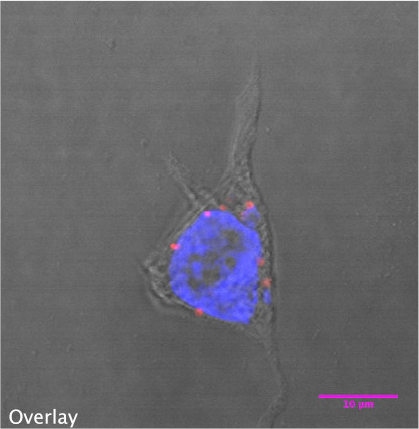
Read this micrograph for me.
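A single cultured cell stands alone on a smooth grey background seen by interference contrast. It is roughly triangular, with thin tapering processes running up and down from the cell body. A large oval blue nucleus fills most of the body, its staining uneven with darker patches. Only a narrow rim of cytoplasm surrounds it. Several small, bright red dots are scattered around the edge of the nucleus and in that rim, some lying over the nuclear margin. This is a cultured cell with a blue-stained nucleus and discrete red dots near it.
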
